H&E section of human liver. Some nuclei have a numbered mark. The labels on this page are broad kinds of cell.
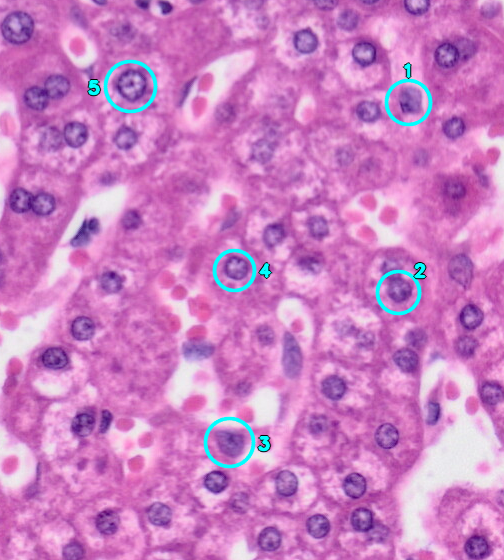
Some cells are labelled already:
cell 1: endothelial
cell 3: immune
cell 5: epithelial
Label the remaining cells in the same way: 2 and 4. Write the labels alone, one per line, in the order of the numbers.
epithelial
epithelial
